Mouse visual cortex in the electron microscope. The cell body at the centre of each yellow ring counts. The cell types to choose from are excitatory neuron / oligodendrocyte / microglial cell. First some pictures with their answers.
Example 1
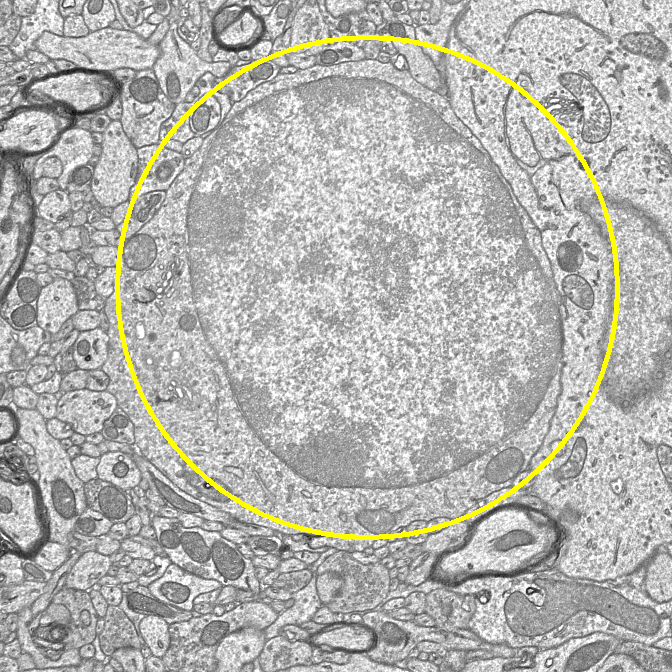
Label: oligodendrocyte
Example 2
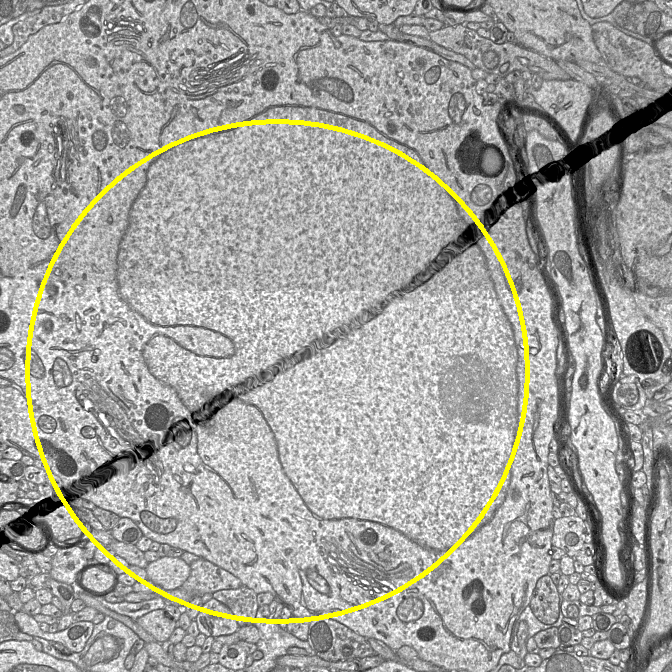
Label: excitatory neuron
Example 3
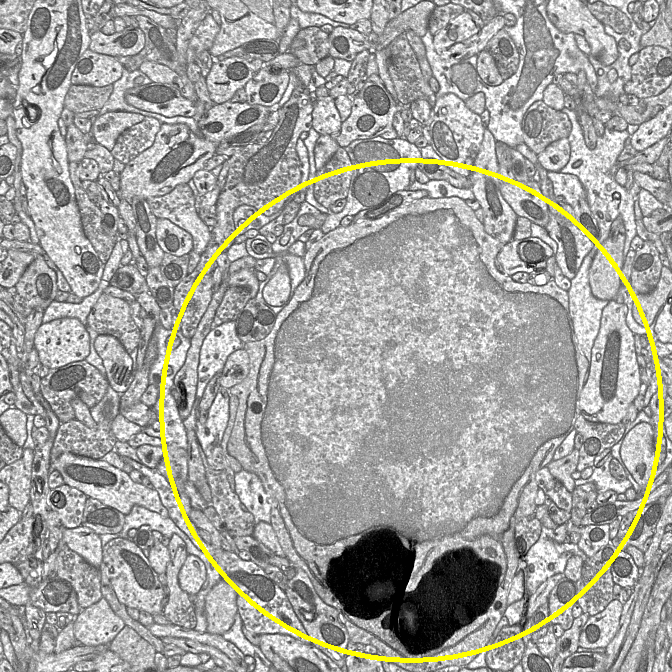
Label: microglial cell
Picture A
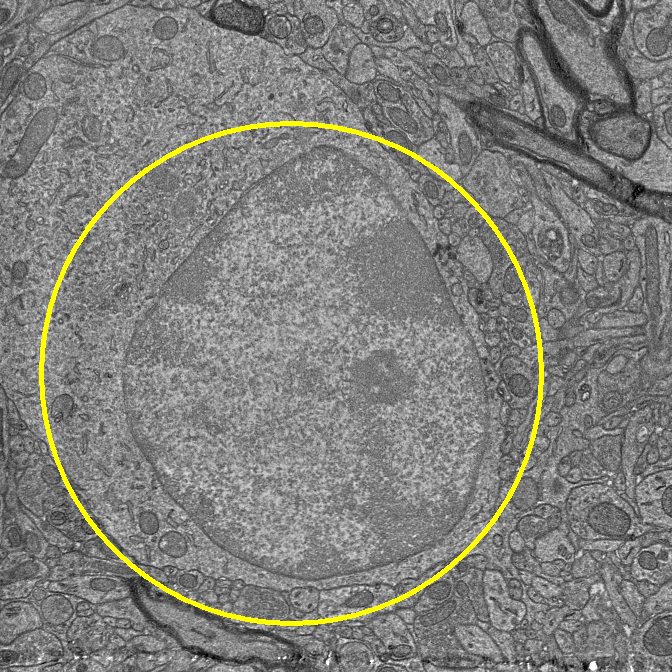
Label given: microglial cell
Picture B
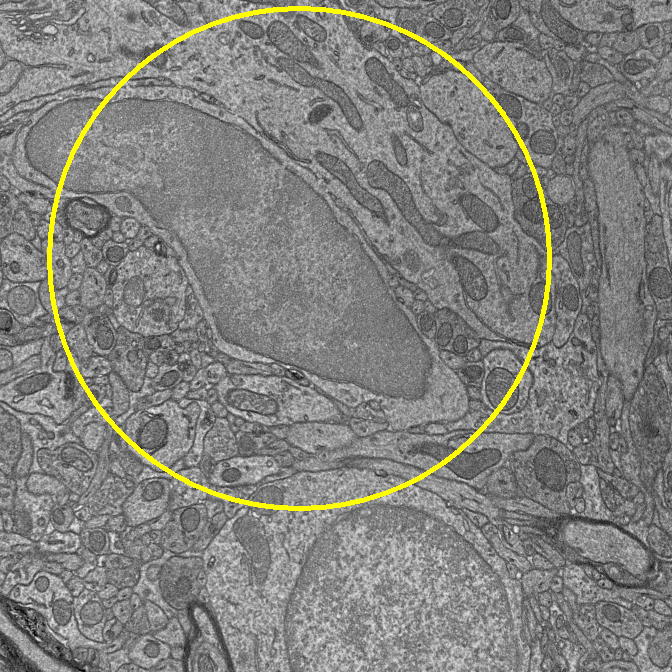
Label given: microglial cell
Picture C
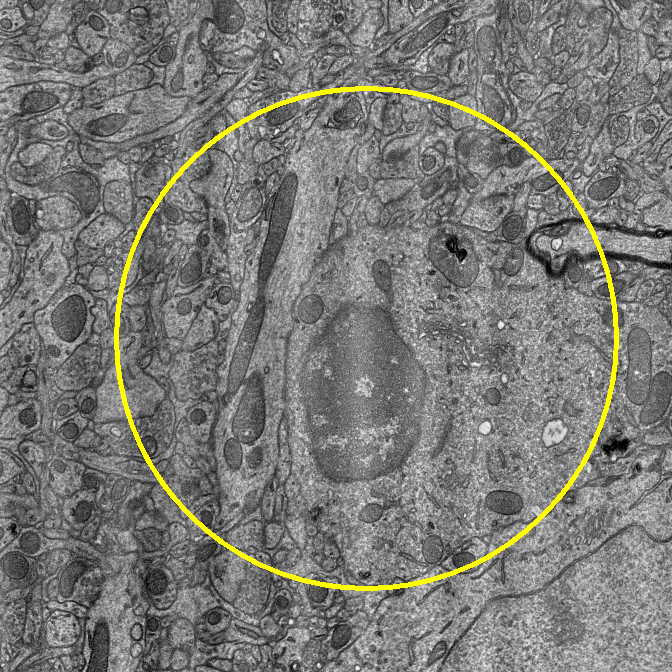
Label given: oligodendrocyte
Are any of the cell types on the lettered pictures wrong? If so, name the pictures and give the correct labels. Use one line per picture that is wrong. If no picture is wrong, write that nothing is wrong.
A is labelled microglial cell; correct label: oligodendrocyte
